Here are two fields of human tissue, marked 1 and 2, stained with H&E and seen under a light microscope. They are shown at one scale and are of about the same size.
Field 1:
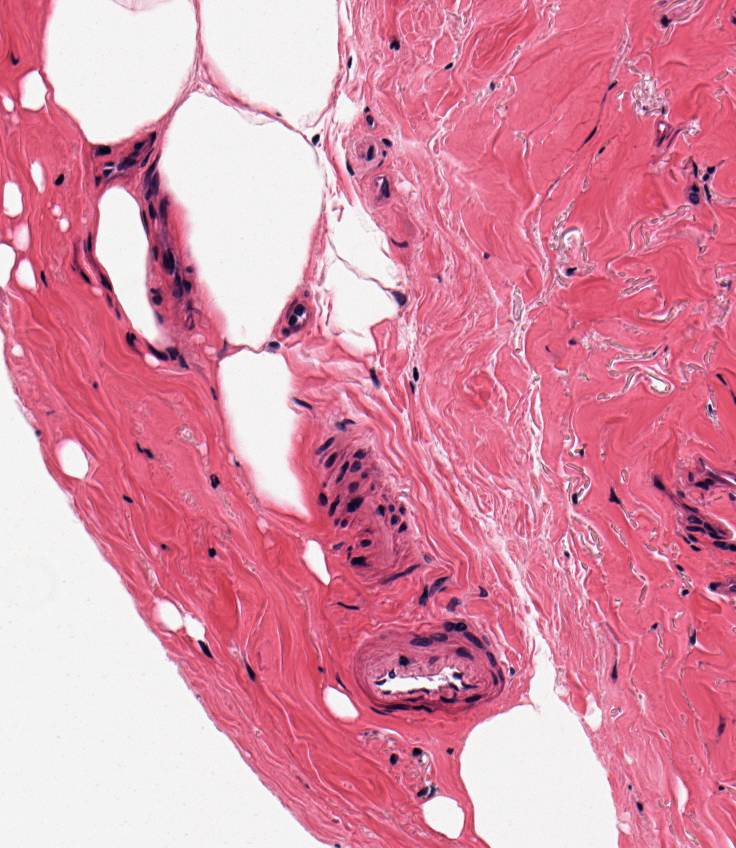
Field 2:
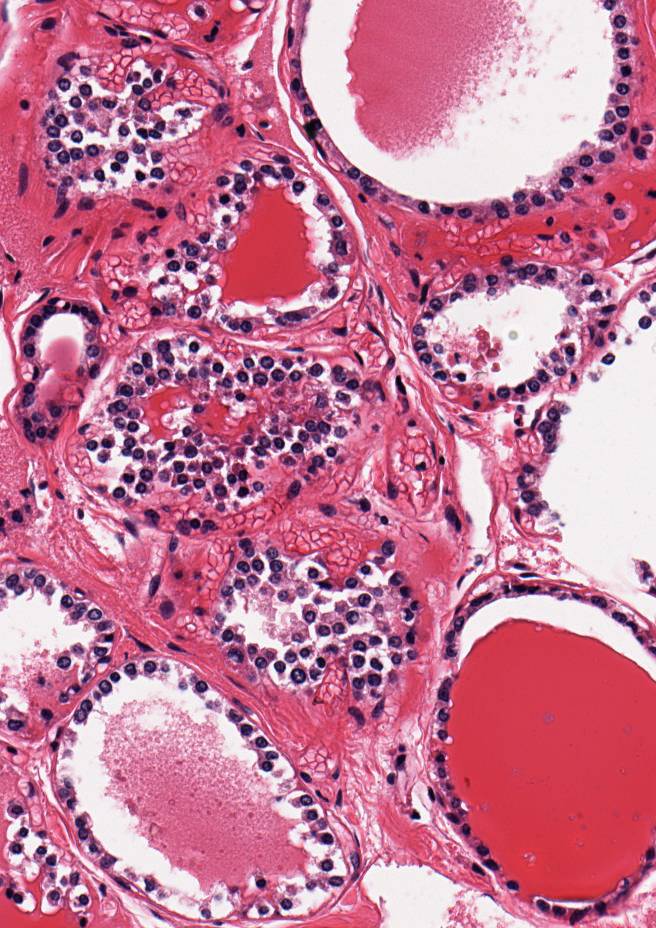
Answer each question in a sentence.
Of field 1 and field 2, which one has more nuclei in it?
Field 2 holds more nuclei than field 1.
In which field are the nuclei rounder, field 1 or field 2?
The nuclei are rounder in field 2.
